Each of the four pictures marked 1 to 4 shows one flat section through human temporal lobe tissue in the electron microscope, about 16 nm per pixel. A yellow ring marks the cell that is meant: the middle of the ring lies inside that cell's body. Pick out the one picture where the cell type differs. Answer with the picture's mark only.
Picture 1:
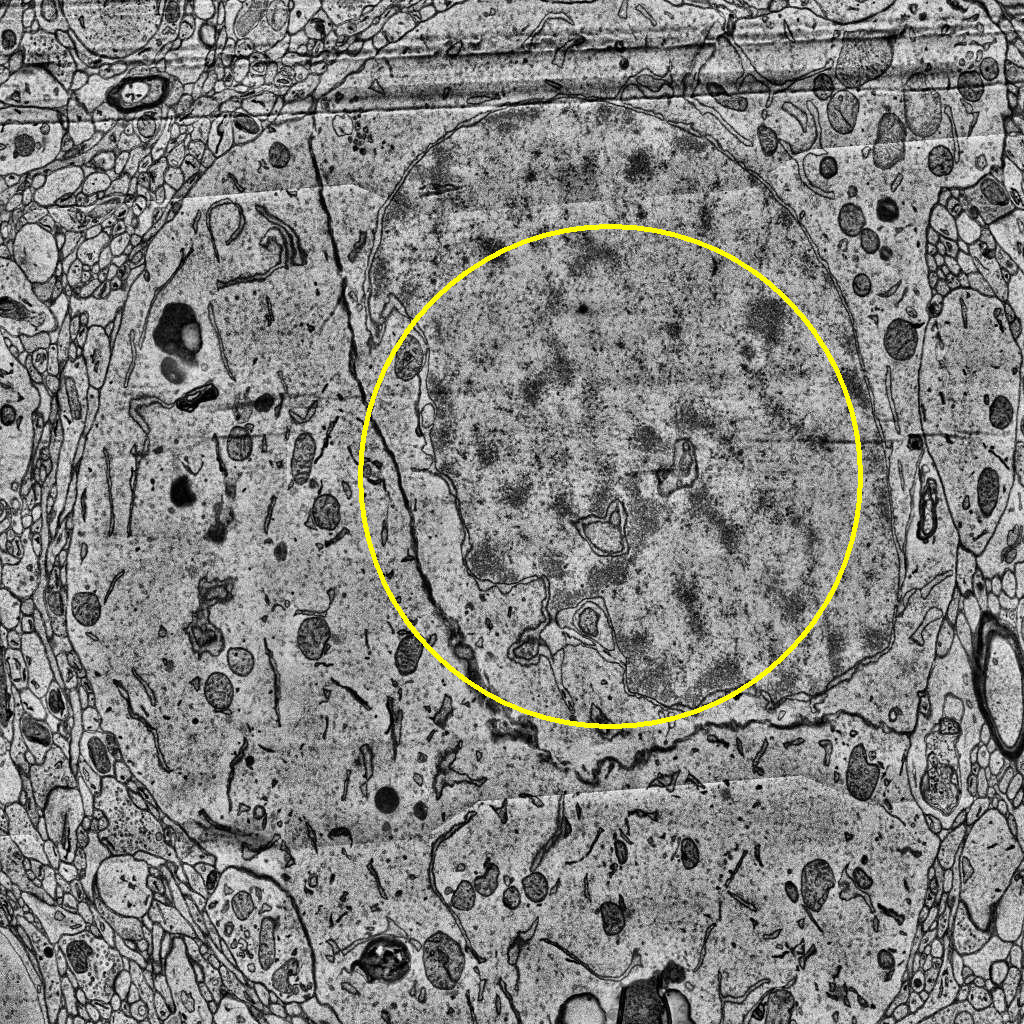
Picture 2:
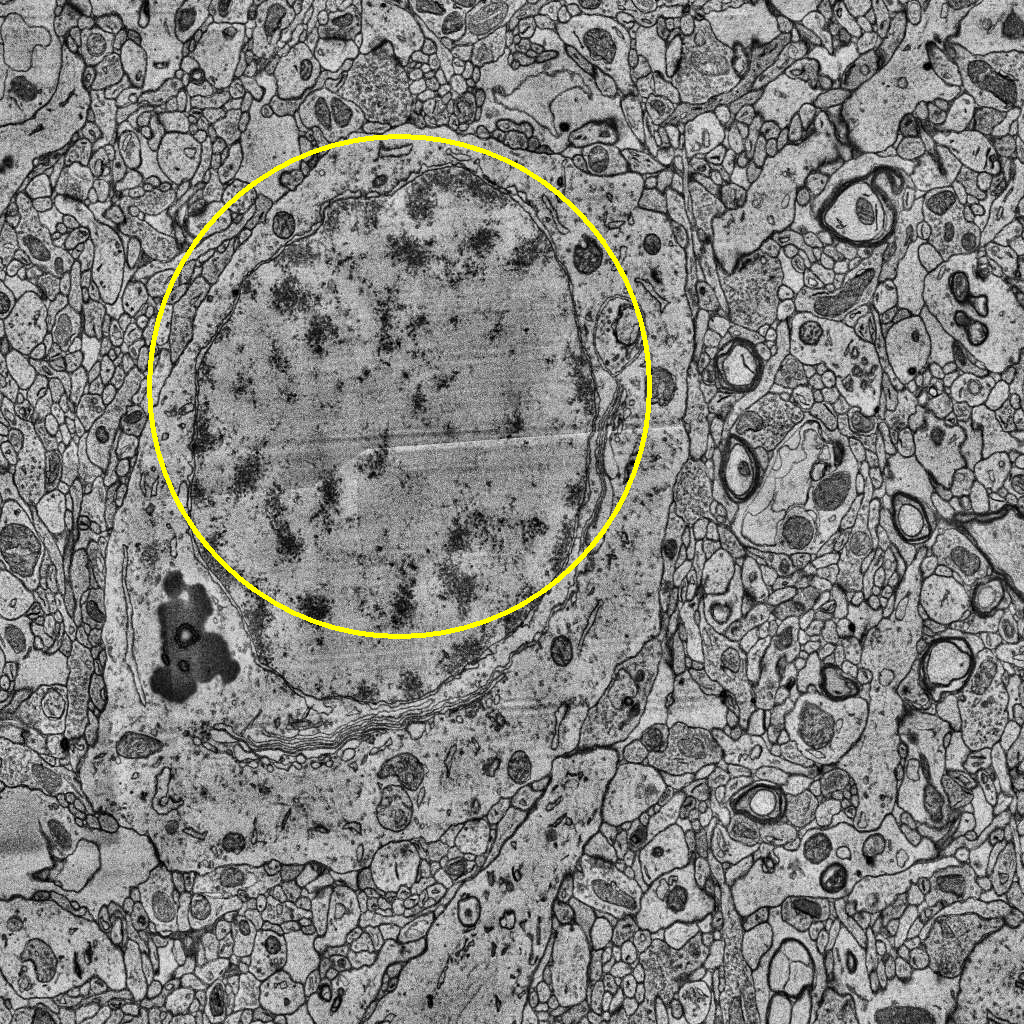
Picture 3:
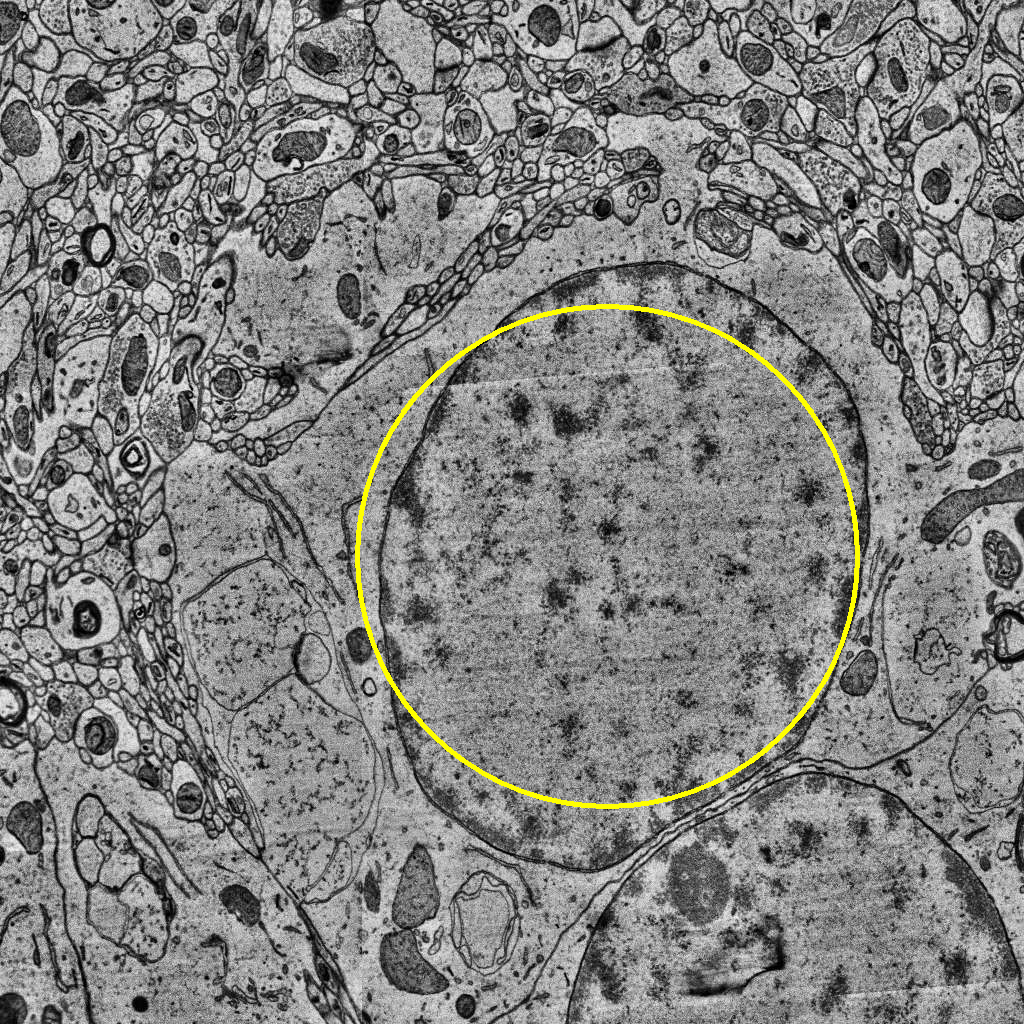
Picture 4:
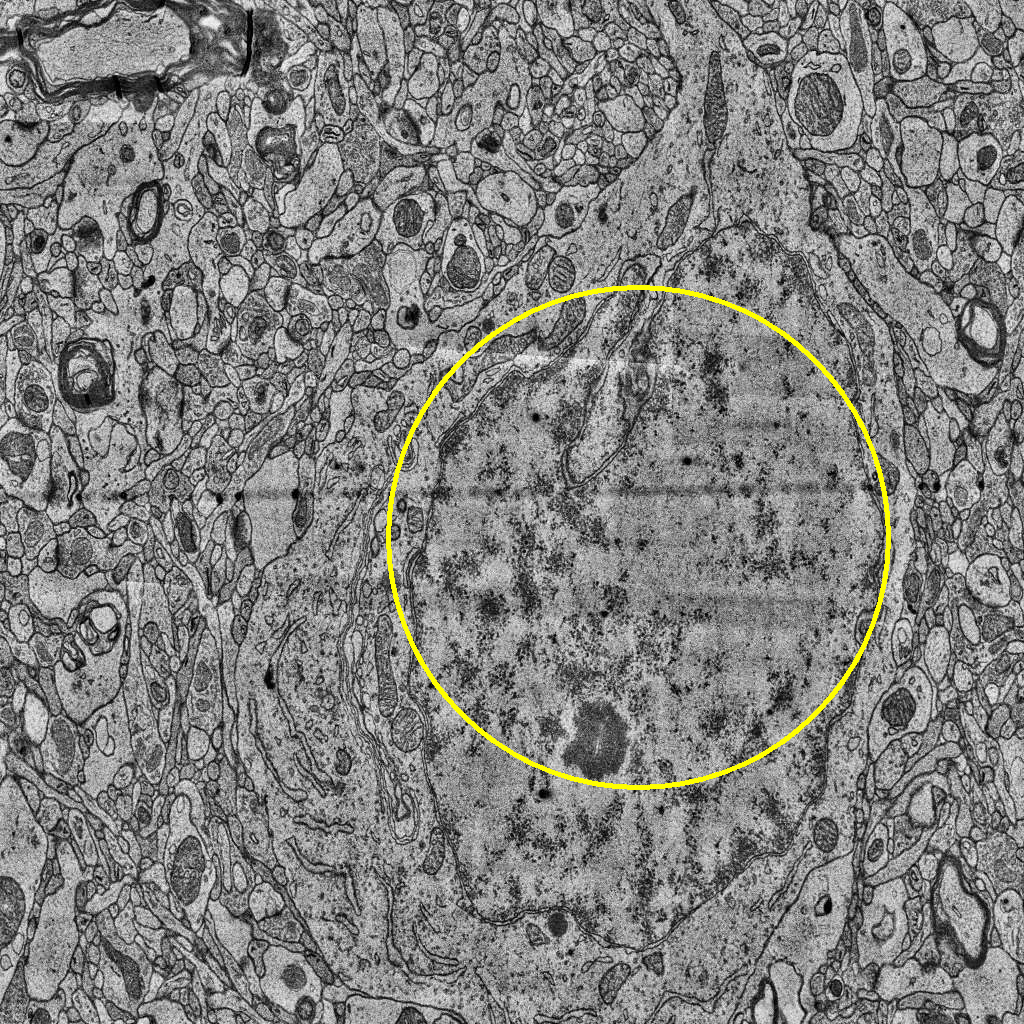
3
